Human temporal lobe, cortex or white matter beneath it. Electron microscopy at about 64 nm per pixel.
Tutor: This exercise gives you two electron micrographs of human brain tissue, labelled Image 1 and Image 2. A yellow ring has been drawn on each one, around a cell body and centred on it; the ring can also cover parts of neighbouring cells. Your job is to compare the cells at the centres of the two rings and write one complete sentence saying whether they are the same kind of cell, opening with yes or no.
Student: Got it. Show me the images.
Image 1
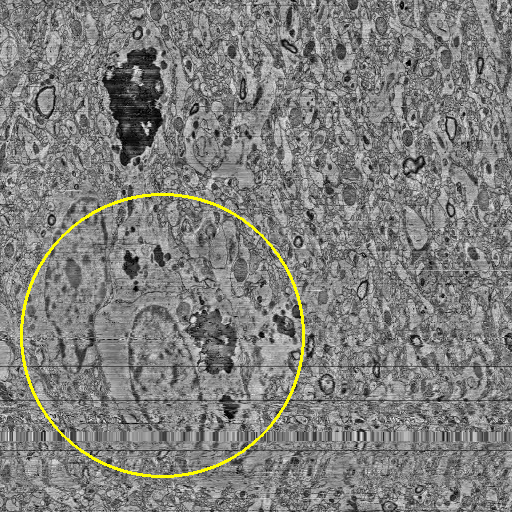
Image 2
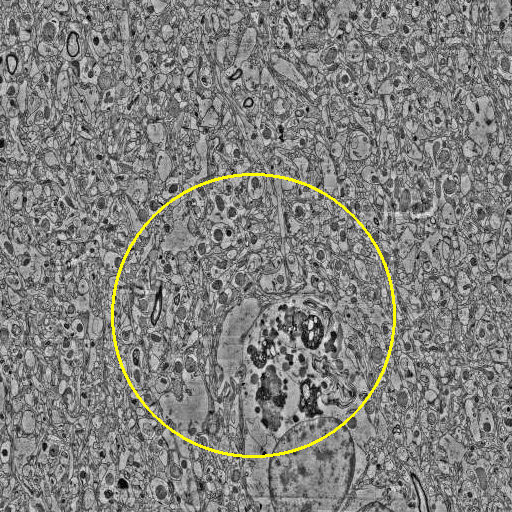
Yes, the two cells belong to the same kind.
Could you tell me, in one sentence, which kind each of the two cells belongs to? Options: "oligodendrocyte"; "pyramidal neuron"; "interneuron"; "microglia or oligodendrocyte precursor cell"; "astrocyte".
Each cell at the centre of a ring is an astrocyte.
